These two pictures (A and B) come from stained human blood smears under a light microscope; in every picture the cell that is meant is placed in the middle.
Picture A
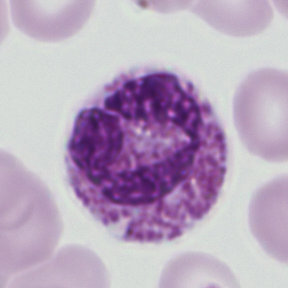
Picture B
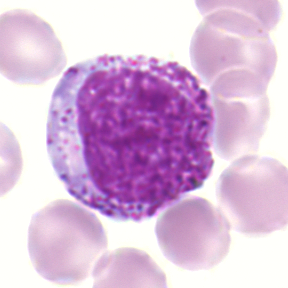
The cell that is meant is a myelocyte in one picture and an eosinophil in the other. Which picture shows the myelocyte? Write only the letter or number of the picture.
B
